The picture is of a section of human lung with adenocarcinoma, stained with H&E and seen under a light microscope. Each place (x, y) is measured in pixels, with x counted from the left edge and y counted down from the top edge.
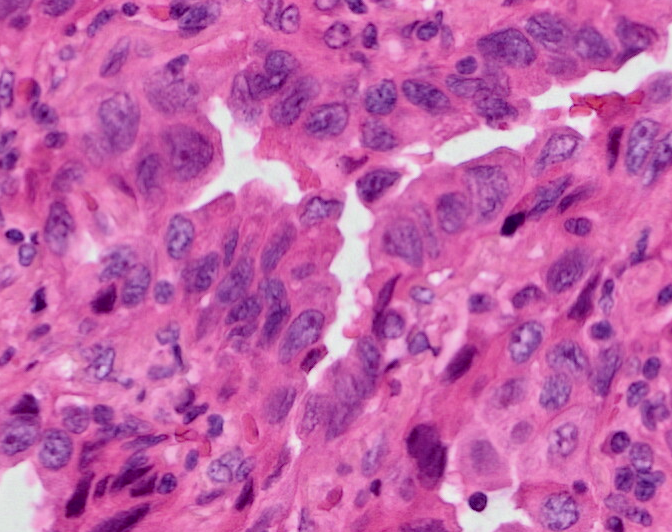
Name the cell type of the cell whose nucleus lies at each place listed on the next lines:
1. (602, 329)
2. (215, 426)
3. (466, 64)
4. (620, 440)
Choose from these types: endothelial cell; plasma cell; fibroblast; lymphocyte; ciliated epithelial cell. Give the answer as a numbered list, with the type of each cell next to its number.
1. lymphocyte
2. lymphocyte
3. lymphocyte
4. plasma cell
